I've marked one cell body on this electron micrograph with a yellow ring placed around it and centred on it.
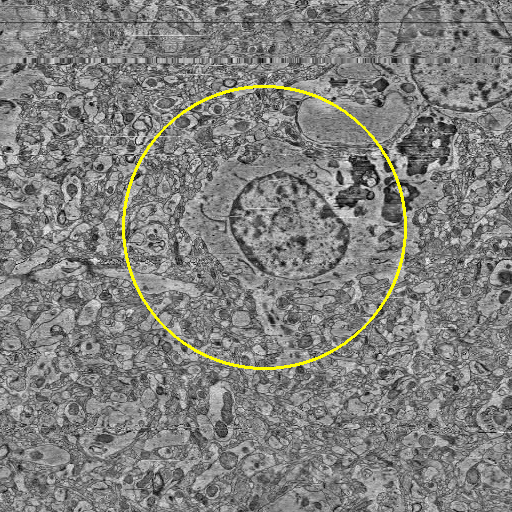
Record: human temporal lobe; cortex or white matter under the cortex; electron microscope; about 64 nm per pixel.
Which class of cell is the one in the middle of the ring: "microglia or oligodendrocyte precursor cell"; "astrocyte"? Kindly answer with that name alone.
astrocyte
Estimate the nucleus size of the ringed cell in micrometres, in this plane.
The nucleus measures about 8 by 6 micrometres in this plane.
